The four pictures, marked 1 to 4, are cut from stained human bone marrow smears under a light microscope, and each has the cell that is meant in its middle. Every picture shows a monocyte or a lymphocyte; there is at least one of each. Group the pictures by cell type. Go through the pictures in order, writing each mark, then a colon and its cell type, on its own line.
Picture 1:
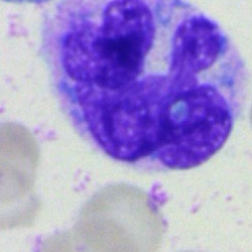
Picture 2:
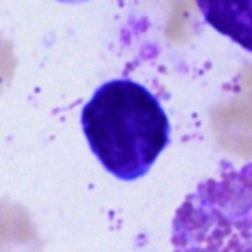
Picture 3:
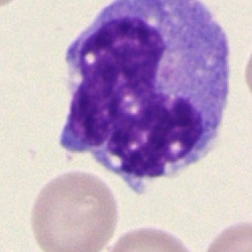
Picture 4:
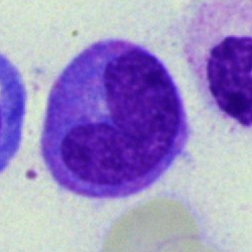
1: monocyte
2: lymphocyte
3: monocyte
4: monocyte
